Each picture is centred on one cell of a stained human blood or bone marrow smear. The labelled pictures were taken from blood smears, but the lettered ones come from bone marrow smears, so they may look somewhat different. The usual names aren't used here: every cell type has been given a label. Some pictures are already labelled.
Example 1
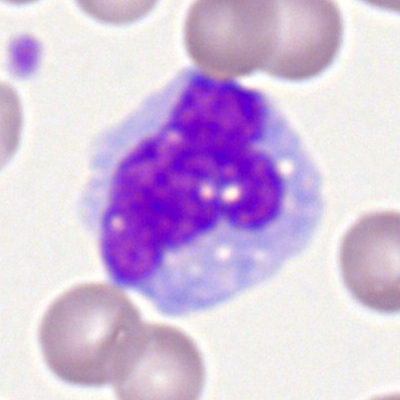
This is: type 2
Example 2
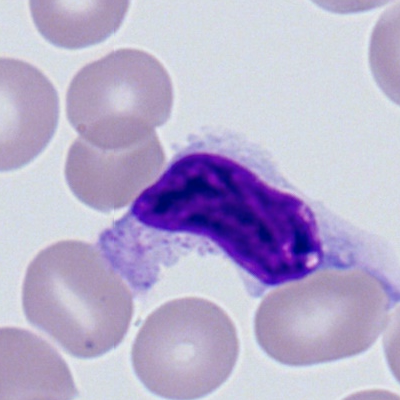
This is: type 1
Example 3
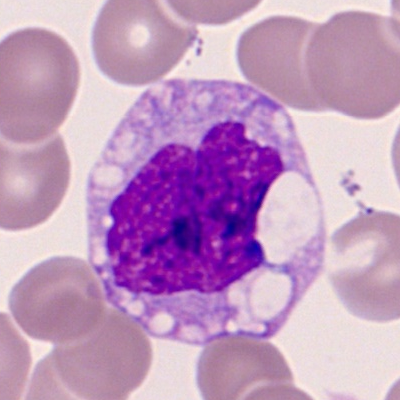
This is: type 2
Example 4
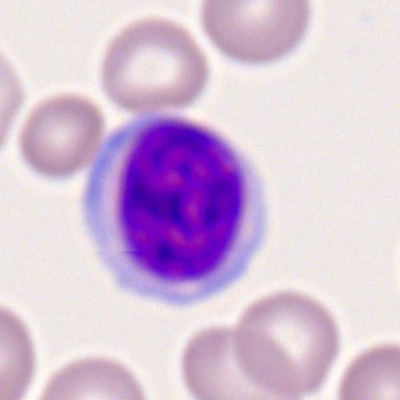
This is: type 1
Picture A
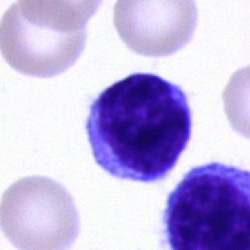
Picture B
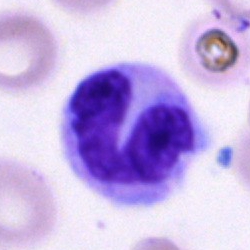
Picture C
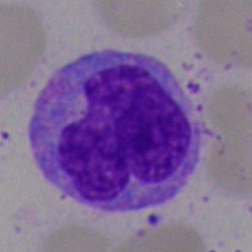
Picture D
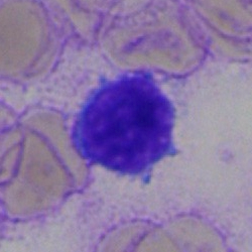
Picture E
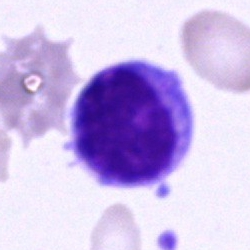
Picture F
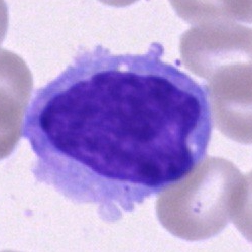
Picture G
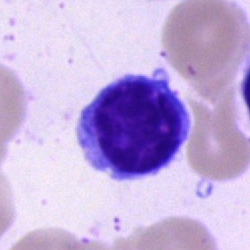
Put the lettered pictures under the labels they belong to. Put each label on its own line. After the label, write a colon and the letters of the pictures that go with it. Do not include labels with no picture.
type 2: B, C, F
type 1: A, D, E, G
